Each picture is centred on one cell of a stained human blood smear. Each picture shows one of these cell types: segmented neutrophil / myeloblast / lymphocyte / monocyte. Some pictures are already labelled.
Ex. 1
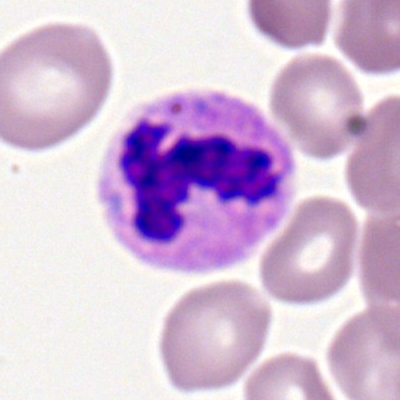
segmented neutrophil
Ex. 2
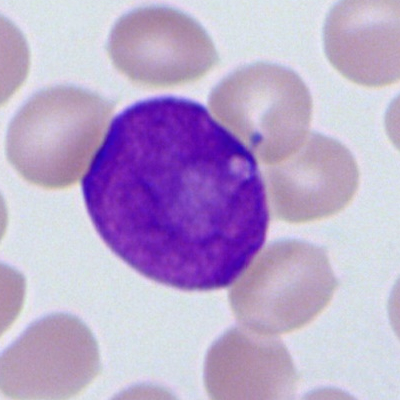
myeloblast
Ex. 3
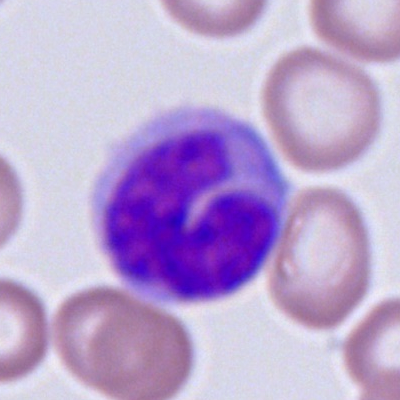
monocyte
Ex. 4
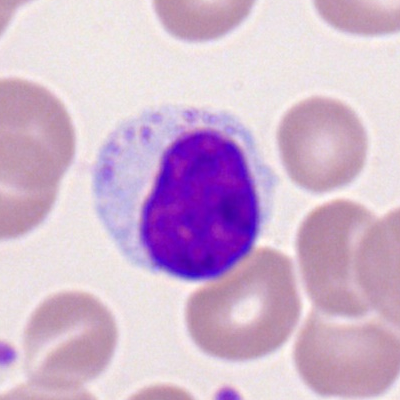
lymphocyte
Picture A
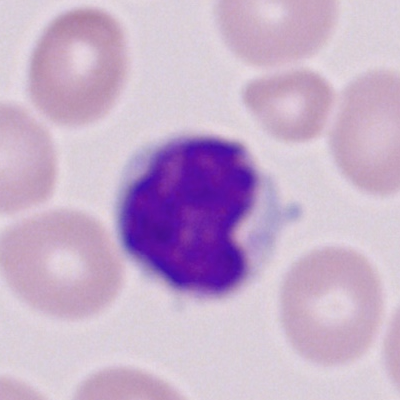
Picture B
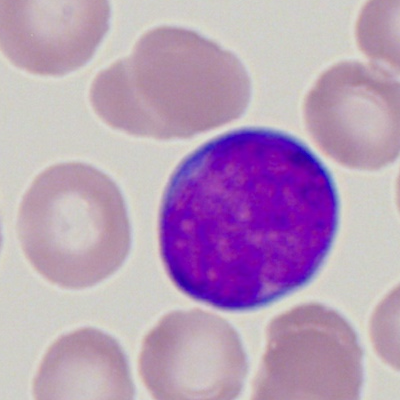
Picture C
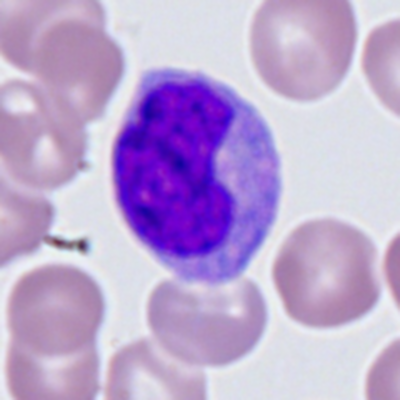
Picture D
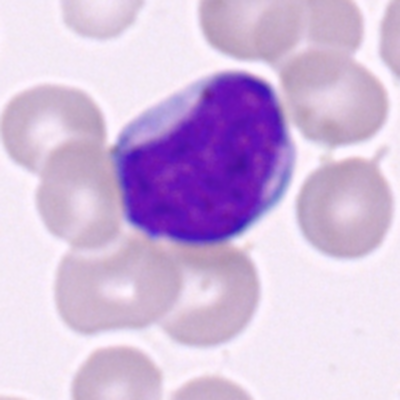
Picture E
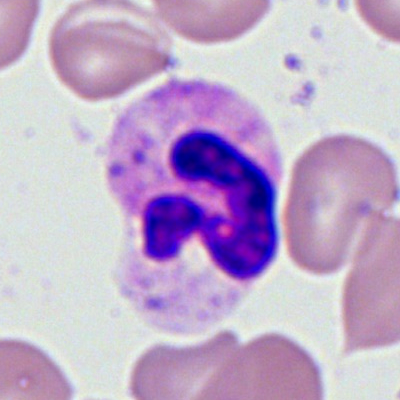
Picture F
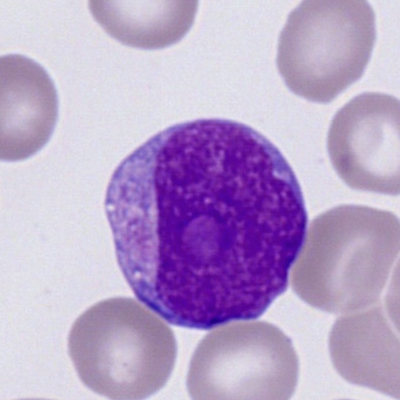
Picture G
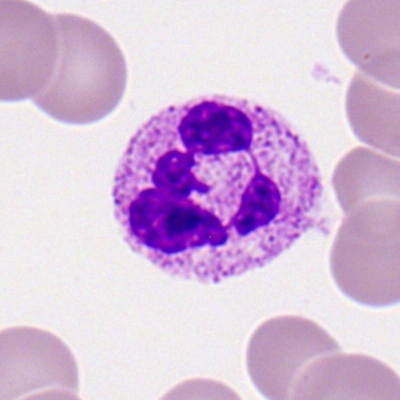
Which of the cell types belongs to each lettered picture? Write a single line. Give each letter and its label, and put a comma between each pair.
A lymphocyte, B myeloblast, C monocyte, D myeloblast, E segmented neutrophil, F myeloblast, G segmented neutrophil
